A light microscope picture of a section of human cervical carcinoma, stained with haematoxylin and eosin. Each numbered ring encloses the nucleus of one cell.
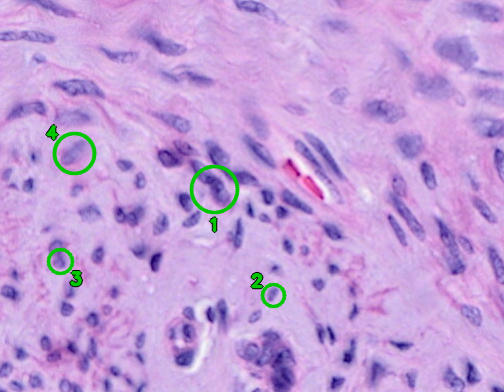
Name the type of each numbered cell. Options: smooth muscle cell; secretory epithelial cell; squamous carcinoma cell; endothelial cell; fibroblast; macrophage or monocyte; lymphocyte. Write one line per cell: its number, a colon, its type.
1: fibroblast
2: fibroblast
3: smooth muscle cell
4: smooth muscle cell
